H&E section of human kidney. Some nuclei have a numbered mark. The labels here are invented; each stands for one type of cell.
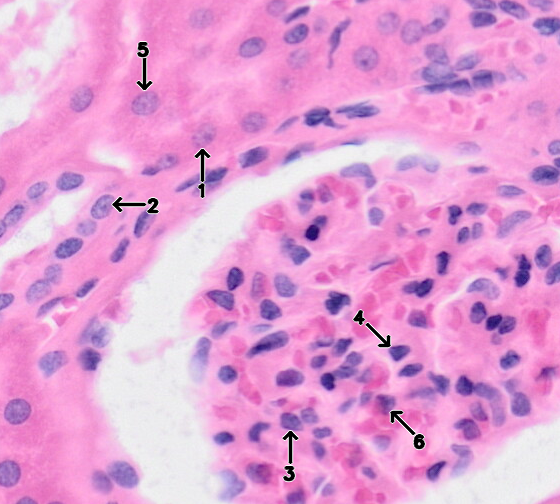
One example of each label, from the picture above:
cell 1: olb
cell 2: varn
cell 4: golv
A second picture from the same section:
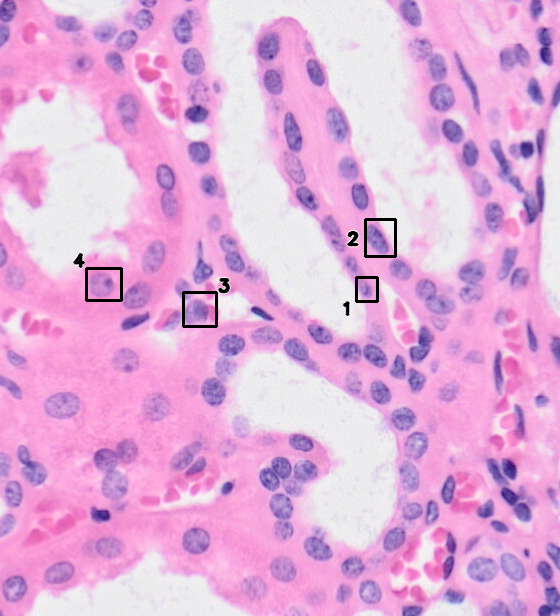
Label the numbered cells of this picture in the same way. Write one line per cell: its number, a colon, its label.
1: varn
2: varn
3: golv
4: olb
